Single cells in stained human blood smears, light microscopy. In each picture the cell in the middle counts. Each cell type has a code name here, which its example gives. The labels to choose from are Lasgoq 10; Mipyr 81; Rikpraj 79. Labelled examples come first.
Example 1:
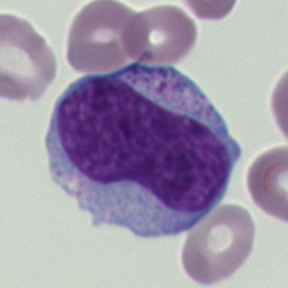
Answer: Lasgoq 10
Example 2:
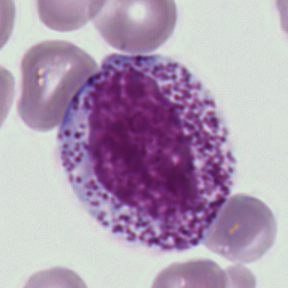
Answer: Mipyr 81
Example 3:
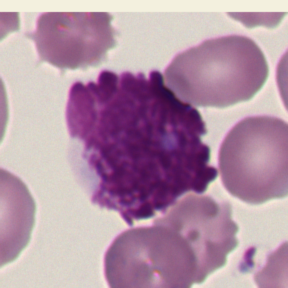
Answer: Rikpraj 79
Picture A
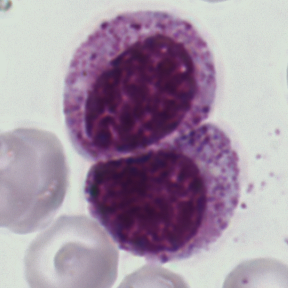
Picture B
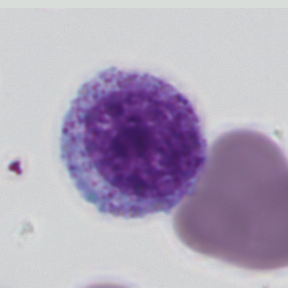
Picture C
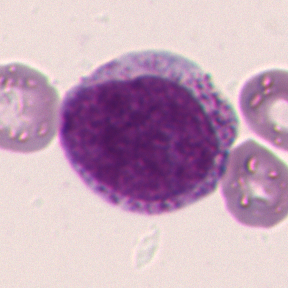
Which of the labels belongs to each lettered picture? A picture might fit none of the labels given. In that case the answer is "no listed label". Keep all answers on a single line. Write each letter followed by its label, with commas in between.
A Mipyr 81, B Mipyr 81, C Mipyr 81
